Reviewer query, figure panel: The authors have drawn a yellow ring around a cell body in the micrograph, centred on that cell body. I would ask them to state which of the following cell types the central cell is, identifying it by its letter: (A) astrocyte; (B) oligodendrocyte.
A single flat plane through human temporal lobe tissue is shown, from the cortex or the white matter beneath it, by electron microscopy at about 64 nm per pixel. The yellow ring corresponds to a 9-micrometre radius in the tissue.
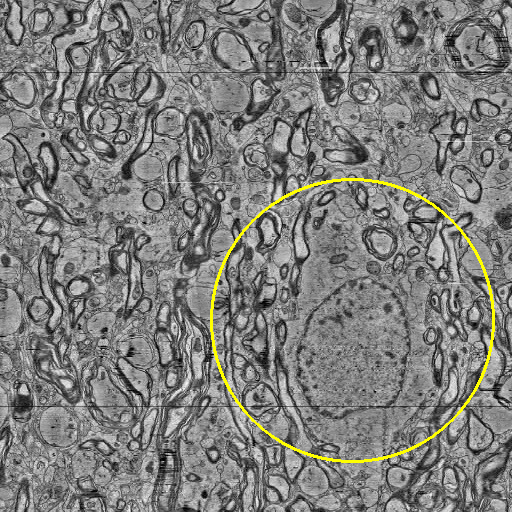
A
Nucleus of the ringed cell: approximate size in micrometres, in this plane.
Approximately 9 x 7 micrometres in this plane.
